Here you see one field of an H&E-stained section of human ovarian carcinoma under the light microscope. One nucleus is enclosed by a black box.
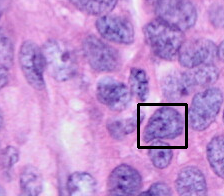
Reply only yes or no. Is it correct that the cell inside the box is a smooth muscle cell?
no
